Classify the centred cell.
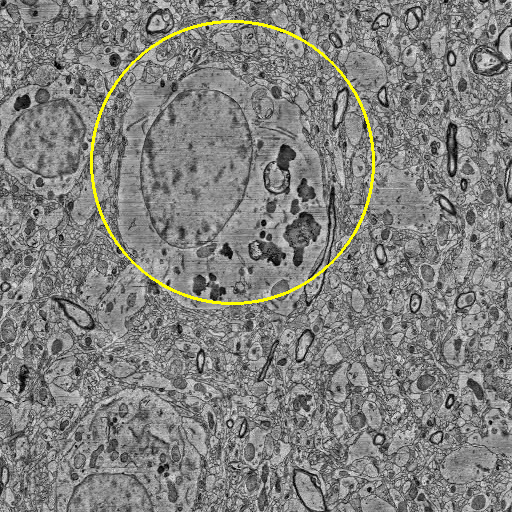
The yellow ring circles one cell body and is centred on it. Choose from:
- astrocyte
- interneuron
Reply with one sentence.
The ring is centred on an astrocyte.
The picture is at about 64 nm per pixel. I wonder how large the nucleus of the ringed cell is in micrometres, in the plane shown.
In this plane, the nucleus is roughly 10 by 7 micrometres.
